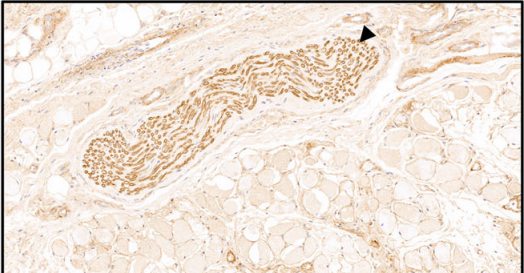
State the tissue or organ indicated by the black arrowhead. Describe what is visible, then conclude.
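Nerve. The arrowhead marks an elongated bundle of wavy fibres stained dark brown. The bundle is surrounded by a thin pale sheath within paler tissue.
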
